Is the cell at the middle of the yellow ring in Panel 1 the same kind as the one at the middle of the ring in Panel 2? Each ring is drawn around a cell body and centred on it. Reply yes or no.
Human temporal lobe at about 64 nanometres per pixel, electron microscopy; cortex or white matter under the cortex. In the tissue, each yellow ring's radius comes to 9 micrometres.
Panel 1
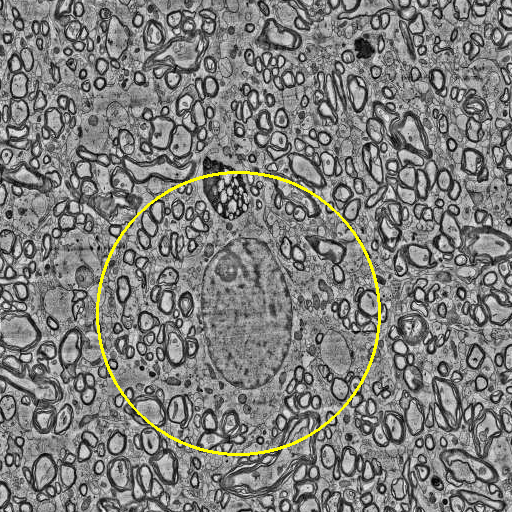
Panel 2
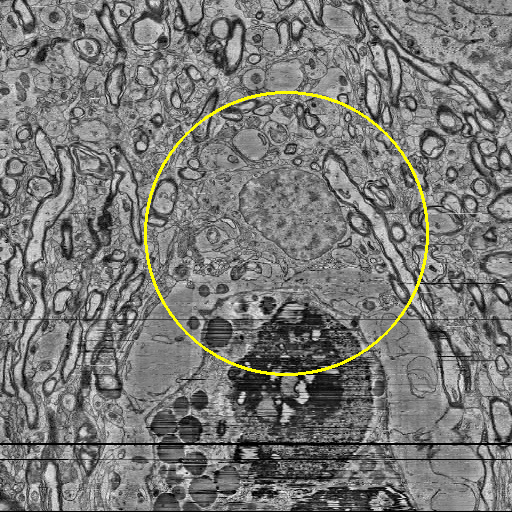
no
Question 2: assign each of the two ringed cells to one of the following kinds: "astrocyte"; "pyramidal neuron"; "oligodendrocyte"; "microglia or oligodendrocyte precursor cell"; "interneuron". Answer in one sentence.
The two cells are an astrocyte in the first picture and an oligodendrocyte in the second.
